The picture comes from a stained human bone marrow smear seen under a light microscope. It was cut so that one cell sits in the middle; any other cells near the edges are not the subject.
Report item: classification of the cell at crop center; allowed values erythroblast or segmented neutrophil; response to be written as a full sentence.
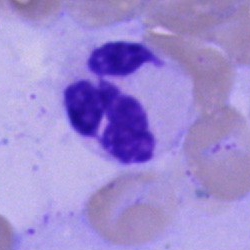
Centrally within this crop lies a segmented neutrophil.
